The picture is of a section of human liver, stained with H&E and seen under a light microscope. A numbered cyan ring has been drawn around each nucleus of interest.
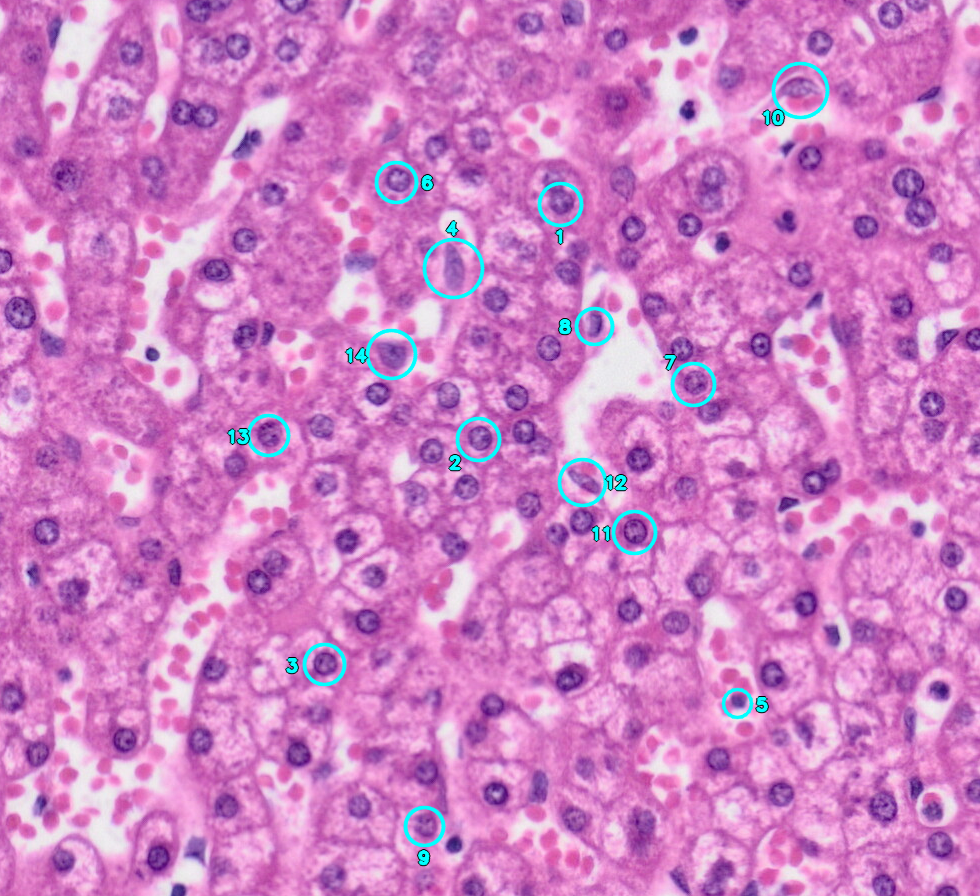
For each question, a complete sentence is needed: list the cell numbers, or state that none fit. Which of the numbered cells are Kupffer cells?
The cells that have been numbered 4, 8, 10, 12 and 14 are Kupffer cells.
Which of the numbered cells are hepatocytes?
The cells picked out by numbers 1, 2, 3, 6, 7, 9, 11 and 13 are hepatocytes.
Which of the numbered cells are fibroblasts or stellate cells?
None of the numbered cells are fibroblasts or stellate cells.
